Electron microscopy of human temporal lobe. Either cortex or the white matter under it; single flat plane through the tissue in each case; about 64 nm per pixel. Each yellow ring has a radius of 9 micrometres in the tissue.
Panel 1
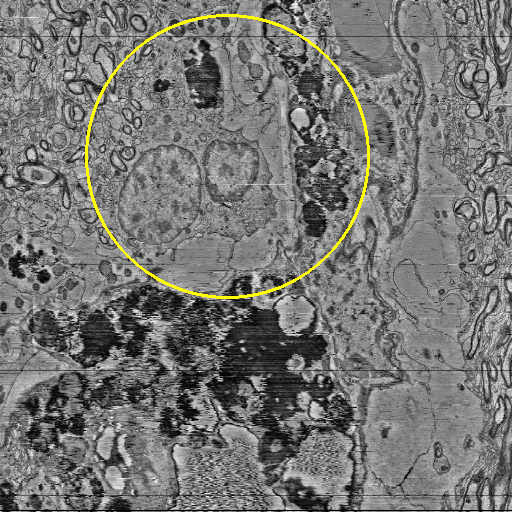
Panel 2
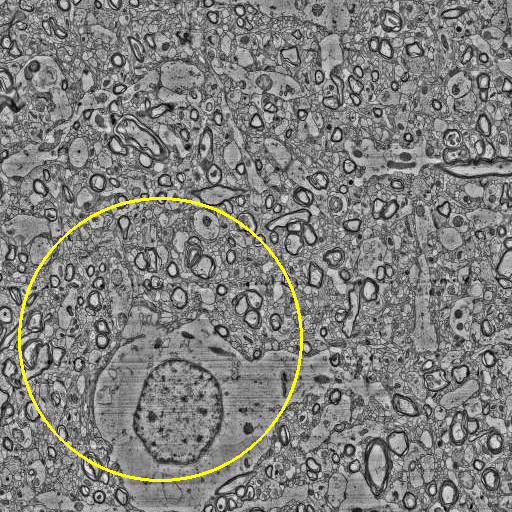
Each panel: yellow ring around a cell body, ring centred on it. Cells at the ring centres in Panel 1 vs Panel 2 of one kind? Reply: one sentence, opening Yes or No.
Yes, Panel 1 and Panel 2 have cells of one kind at the ring centres.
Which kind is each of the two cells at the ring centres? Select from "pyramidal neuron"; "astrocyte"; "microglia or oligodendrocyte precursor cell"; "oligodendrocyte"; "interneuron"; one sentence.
Each of the two rings is centred on an oligodendrocyte.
